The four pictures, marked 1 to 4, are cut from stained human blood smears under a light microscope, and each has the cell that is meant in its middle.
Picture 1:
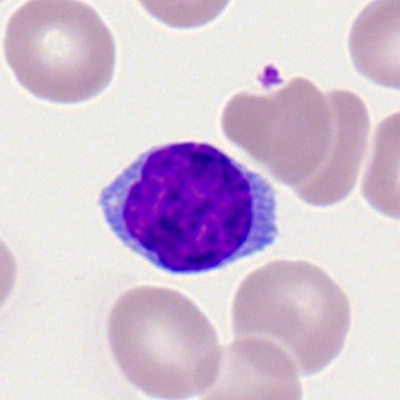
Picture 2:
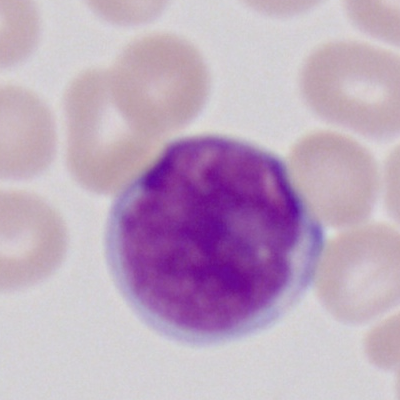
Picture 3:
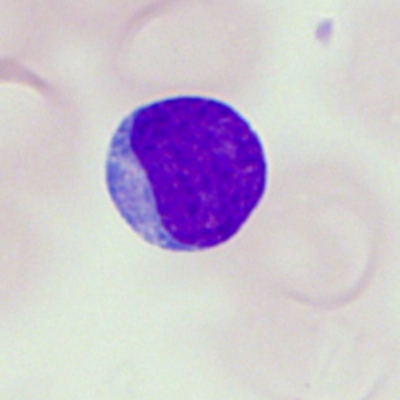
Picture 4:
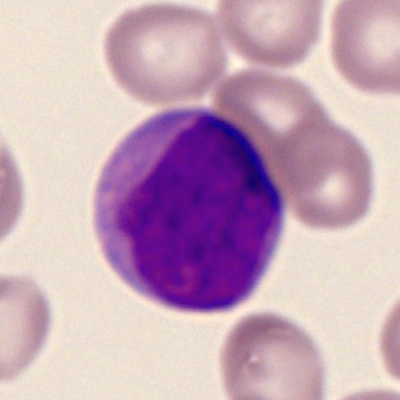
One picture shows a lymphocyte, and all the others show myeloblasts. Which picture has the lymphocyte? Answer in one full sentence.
The lymphocyte is the one in picture 1.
